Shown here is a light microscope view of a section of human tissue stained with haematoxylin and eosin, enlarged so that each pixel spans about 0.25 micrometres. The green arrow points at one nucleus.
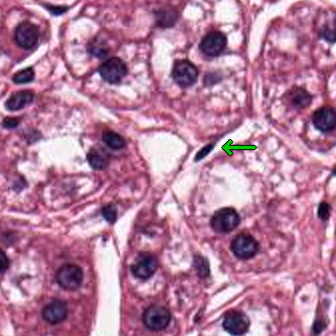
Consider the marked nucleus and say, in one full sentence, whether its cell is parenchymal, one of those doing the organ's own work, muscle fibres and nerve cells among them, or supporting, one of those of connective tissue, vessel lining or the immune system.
Belonging to a supporting cell is the nucleus that is marked.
